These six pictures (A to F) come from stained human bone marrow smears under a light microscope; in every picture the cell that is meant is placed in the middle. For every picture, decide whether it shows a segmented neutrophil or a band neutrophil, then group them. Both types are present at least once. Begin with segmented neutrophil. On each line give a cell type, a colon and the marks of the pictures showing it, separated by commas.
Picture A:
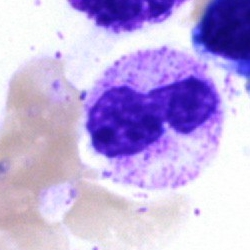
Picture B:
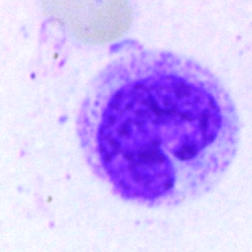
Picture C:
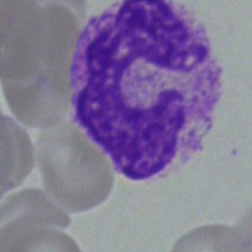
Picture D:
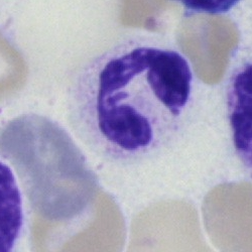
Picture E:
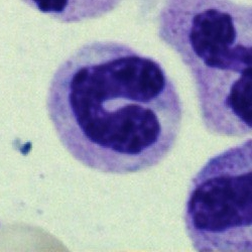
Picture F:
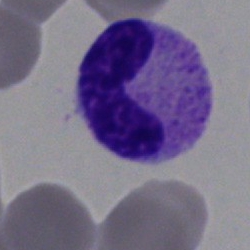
segmented neutrophil: C, D
band neutrophil: A, B, E, F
